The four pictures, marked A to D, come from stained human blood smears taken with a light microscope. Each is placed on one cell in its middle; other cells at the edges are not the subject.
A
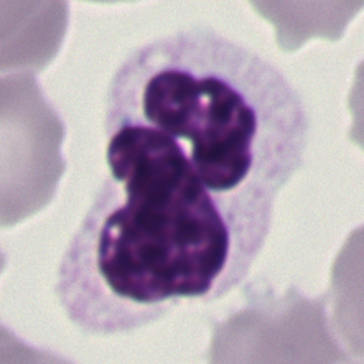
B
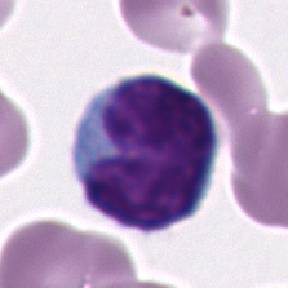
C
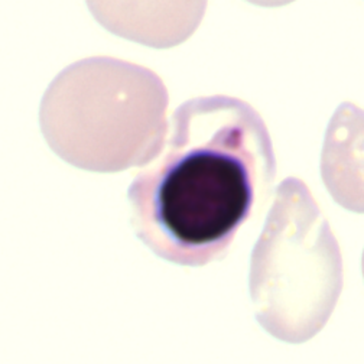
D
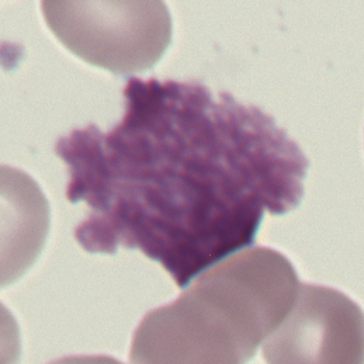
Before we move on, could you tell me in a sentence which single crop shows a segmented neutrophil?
Crop A is identified as the crop showing a segmented neutrophil.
